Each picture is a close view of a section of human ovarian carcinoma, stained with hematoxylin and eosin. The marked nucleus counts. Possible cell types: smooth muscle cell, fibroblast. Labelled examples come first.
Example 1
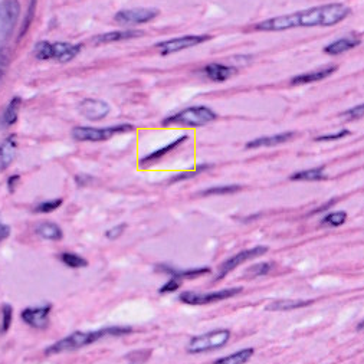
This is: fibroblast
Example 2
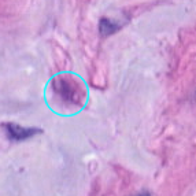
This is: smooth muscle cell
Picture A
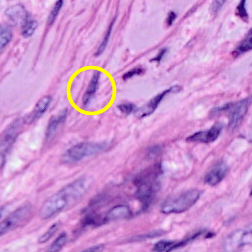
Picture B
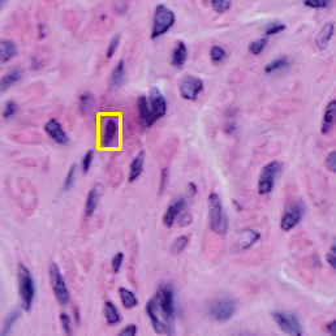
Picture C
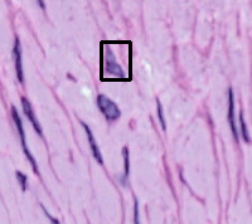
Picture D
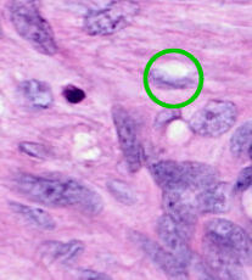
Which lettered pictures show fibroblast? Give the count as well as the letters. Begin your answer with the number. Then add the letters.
3, namely A, C, D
